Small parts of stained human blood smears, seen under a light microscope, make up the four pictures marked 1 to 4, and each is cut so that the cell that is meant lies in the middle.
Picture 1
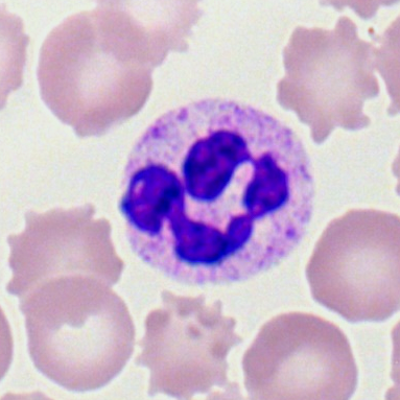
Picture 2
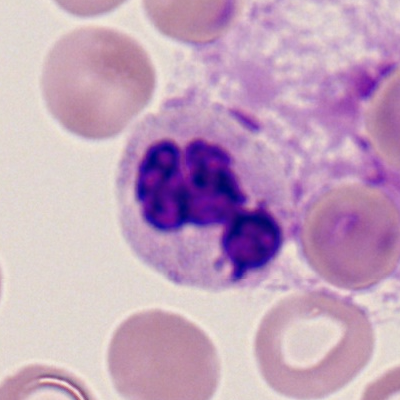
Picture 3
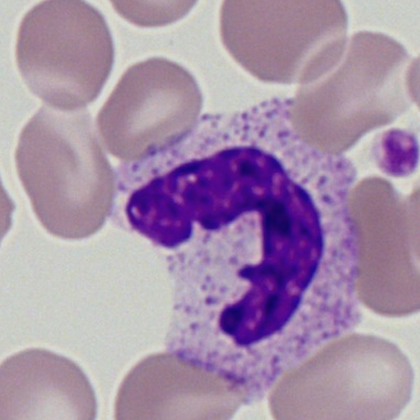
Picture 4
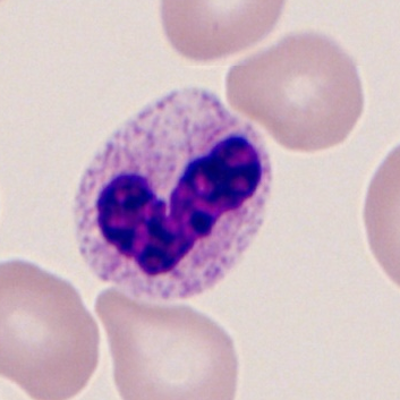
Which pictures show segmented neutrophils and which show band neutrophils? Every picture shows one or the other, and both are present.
1: segmented neutrophil
2: segmented neutrophil
3: band neutrophil
4: segmented neutrophil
